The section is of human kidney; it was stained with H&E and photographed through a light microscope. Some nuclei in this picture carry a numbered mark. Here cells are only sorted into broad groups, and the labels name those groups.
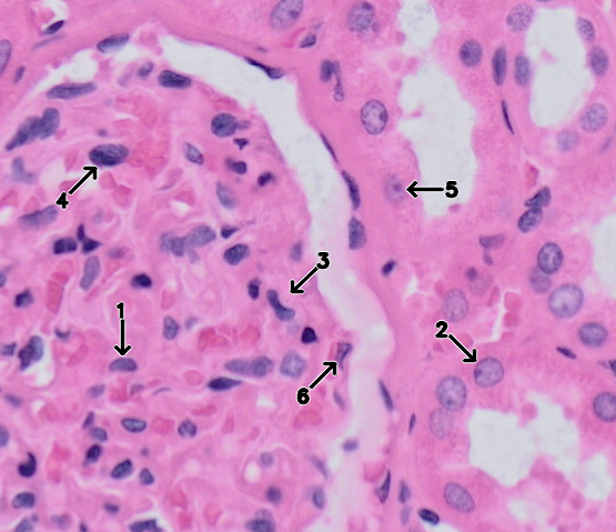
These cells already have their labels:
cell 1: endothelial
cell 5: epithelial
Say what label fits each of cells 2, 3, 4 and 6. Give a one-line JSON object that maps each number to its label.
{"2": "epithelial", "3": "endothelial", "4": "endothelial", "6": "endothelial"}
